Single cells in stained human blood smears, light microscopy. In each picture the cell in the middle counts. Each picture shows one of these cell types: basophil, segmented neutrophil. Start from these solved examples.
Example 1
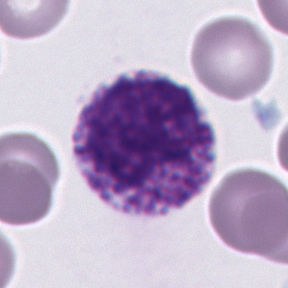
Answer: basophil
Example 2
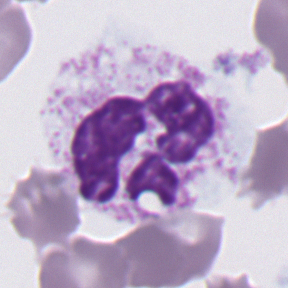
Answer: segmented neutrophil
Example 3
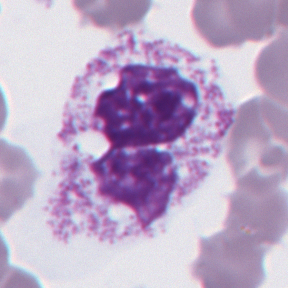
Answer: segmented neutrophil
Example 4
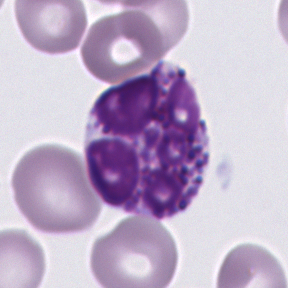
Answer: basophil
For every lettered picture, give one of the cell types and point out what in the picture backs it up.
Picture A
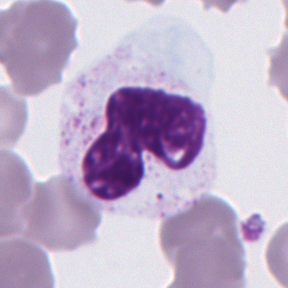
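segmented neutrophil. Reason: The cytoplasm is abundant and pale grey-blue.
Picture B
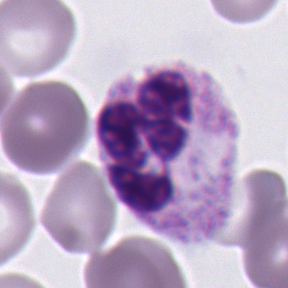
segmented neutrophil. Reason: The cytoplasm is plentiful and pale pinkish-lilac.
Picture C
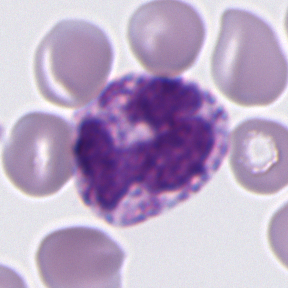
basophil. Reason: Coarse dark violet granules are scattered through the cytoplasm and along the cell edge.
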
